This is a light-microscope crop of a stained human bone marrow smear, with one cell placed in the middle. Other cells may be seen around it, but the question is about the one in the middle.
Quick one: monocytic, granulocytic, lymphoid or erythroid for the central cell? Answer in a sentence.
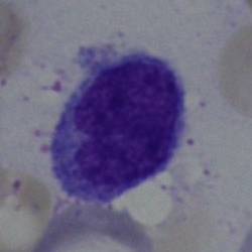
The middle cell is placed in the monocytic lineage.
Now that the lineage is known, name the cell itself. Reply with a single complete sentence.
Positioned in the middle of the crop is a monocyte.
